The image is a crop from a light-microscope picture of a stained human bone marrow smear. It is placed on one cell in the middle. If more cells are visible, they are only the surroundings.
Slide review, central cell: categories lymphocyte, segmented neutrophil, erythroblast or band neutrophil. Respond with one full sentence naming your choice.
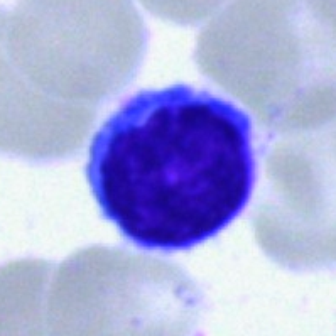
The cell around which this crop is centred is a lymphocyte.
